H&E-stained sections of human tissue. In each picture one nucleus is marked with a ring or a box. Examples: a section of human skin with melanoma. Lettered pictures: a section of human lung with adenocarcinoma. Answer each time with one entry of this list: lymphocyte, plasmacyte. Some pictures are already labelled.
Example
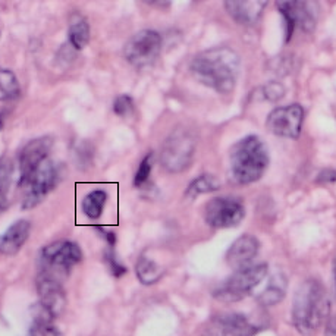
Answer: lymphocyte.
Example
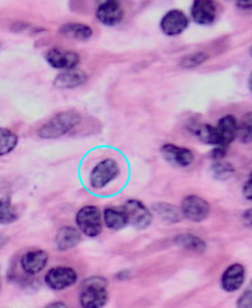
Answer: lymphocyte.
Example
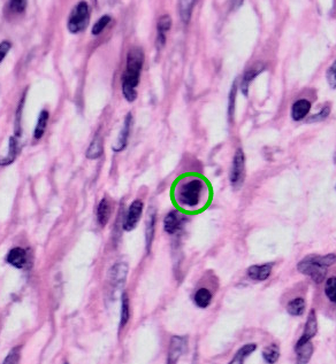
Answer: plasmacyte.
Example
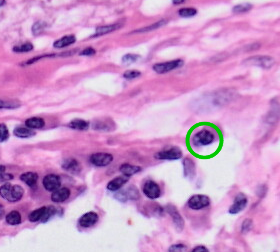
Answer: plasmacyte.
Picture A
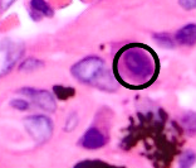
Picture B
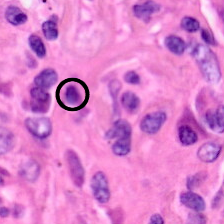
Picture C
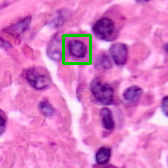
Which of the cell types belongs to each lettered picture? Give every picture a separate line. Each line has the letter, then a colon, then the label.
A: plasmacyte.
B: plasmacyte.
C: plasmacyte.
